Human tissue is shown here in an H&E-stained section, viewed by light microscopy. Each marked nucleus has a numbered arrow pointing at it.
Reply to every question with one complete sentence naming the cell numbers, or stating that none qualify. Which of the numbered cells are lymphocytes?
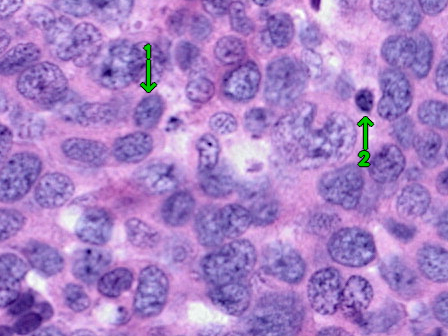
Cell 2 is a lymphocyte, while all remaining marked cells are of other types.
